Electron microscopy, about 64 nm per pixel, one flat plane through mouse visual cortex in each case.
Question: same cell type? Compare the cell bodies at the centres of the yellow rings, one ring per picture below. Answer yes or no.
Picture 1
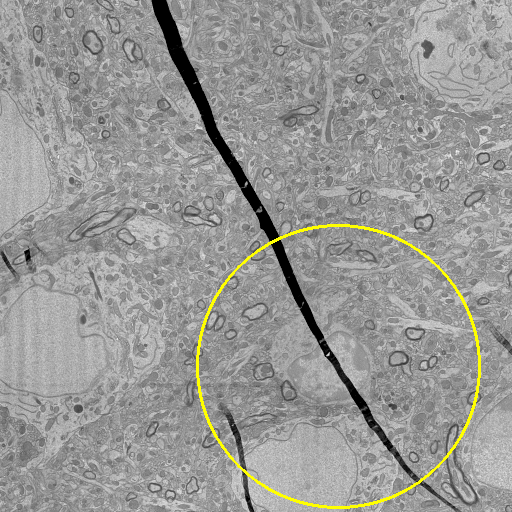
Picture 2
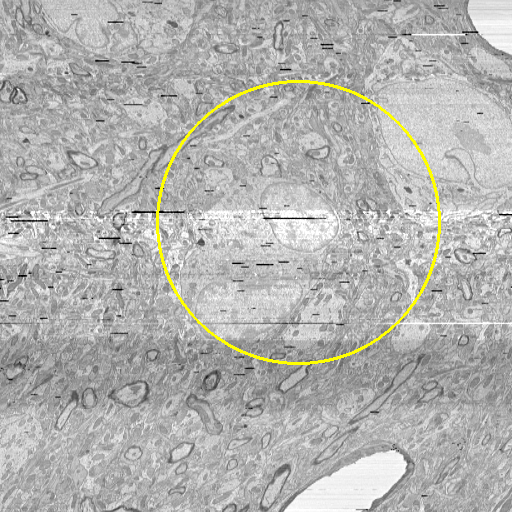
yes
